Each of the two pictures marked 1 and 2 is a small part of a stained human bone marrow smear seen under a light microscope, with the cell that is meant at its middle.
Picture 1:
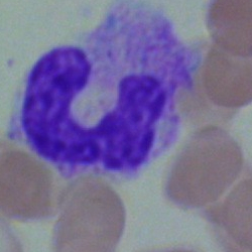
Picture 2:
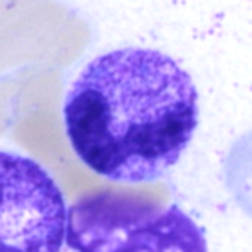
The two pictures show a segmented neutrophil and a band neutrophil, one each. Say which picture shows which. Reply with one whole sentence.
Picture 1 is of a band neutrophil, and picture 2 is of a segmented neutrophil.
